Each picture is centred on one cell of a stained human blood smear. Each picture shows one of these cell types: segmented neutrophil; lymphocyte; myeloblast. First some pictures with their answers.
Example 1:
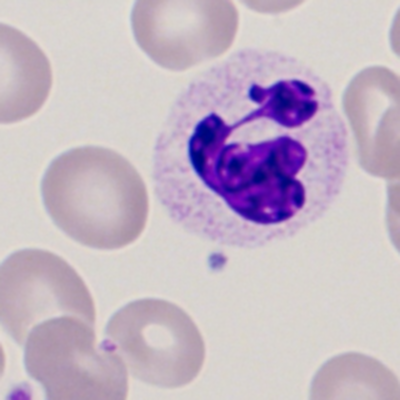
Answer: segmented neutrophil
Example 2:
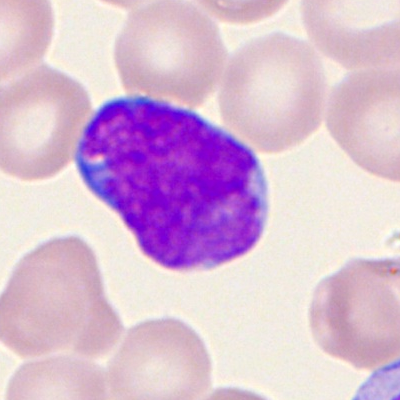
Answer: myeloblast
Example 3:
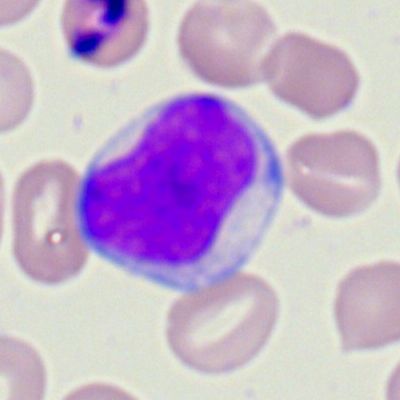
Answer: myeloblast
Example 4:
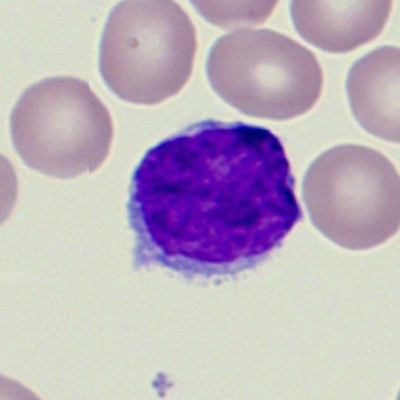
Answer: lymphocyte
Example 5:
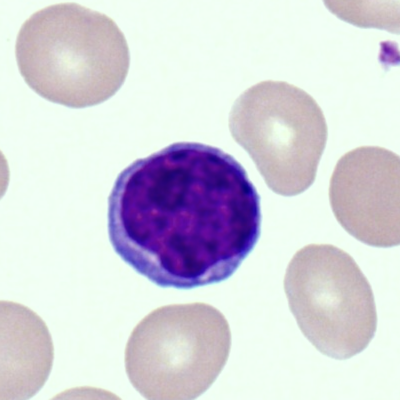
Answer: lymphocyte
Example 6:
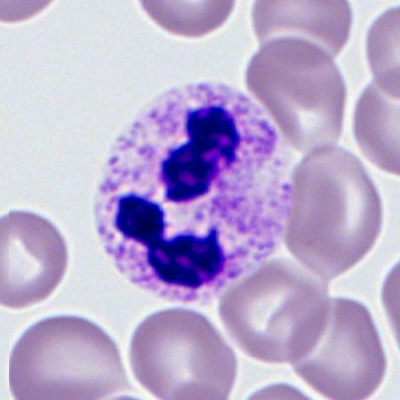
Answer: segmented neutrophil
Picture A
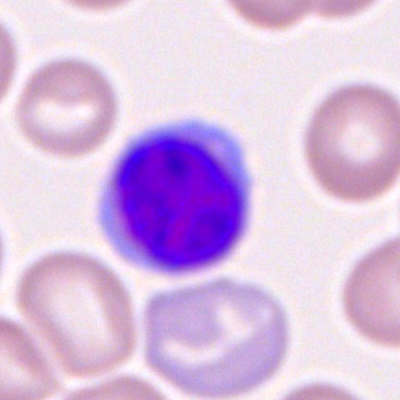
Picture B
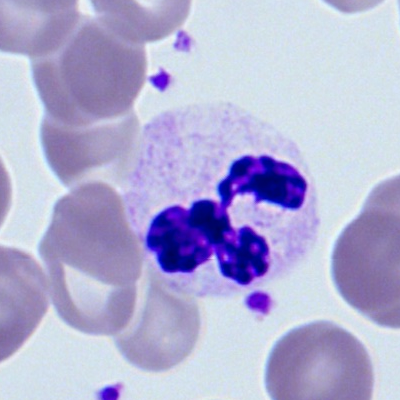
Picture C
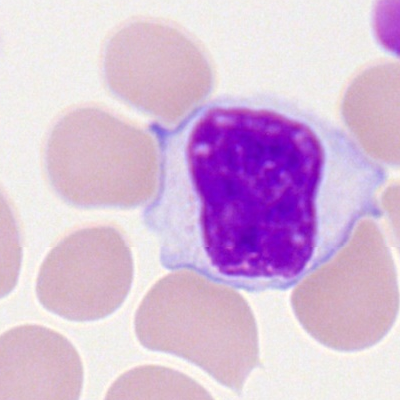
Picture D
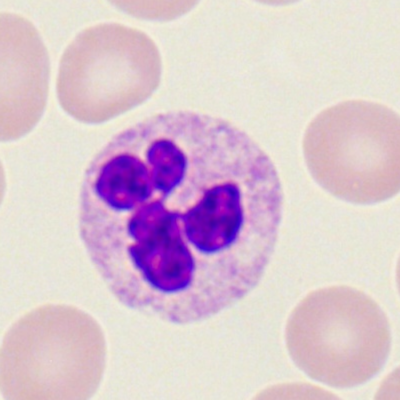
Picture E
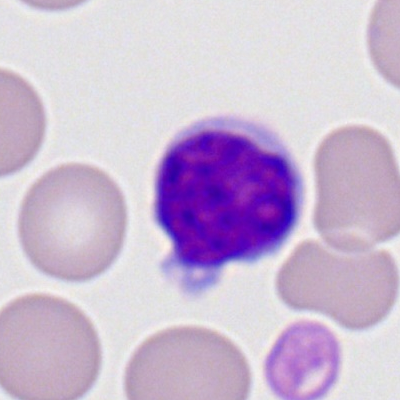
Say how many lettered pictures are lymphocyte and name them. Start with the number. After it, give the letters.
3, namely A, C, E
